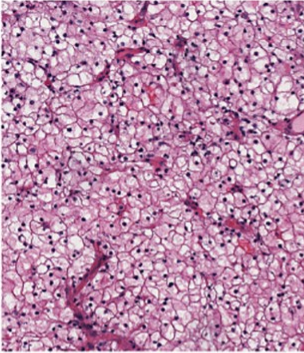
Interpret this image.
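This is a clear cell renal carcinoma made of sheets of polygonal tumour cells with clear, empty-looking cytoplasm and crisp thin cell membranes. Each cell holds a small, round, dark purple nucleus, and the nuclei are fairly uniform. A delicate network of thin pink vessels runs between the cells, with a larger vessel holding pink material in the upper right.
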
